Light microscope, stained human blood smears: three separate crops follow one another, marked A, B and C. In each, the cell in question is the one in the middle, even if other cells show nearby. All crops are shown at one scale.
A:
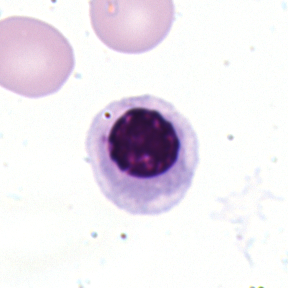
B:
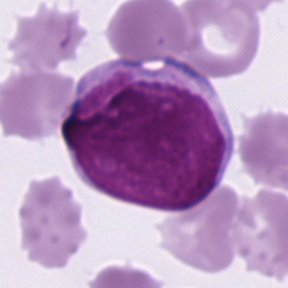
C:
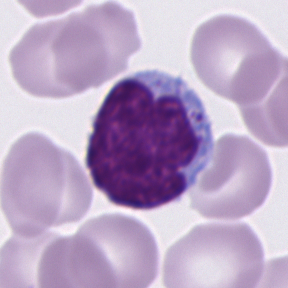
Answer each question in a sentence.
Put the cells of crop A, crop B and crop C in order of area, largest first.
Going down, they run B, C, A.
